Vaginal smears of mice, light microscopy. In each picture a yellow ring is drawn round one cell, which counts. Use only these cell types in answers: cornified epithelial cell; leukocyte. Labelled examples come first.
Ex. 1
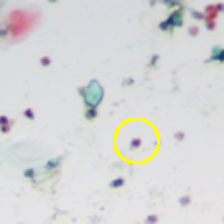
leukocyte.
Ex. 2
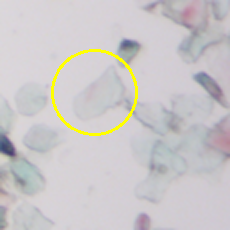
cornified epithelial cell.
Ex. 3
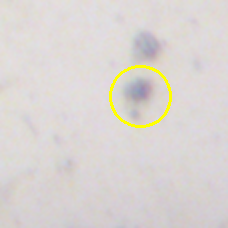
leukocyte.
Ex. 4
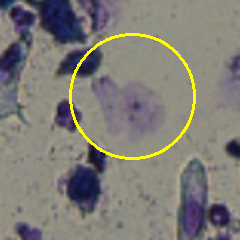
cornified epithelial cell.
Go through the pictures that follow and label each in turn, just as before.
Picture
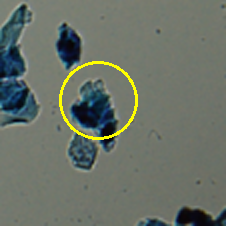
cornified epithelial cell.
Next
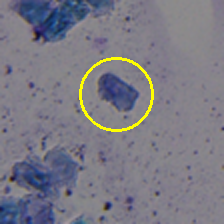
cornified epithelial cell.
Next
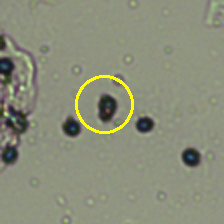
leukocyte.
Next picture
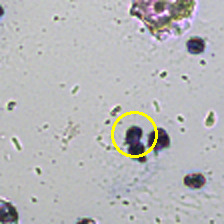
leukocyte.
